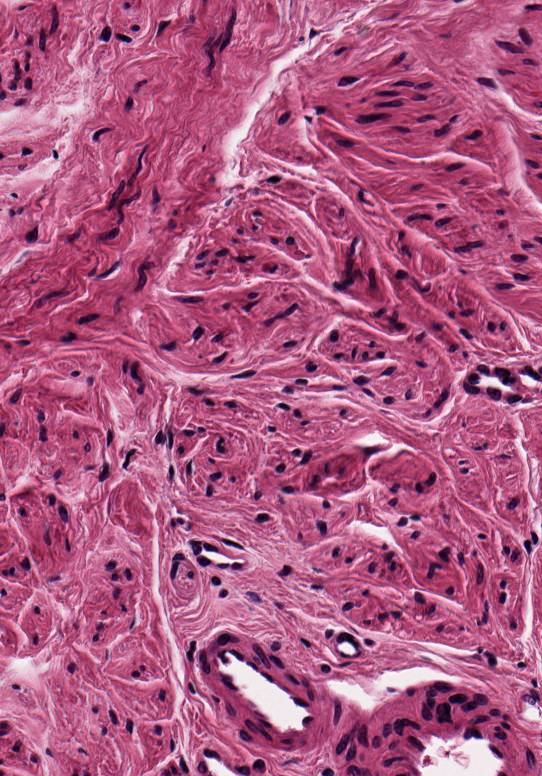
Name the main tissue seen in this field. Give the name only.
dense connective tissue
